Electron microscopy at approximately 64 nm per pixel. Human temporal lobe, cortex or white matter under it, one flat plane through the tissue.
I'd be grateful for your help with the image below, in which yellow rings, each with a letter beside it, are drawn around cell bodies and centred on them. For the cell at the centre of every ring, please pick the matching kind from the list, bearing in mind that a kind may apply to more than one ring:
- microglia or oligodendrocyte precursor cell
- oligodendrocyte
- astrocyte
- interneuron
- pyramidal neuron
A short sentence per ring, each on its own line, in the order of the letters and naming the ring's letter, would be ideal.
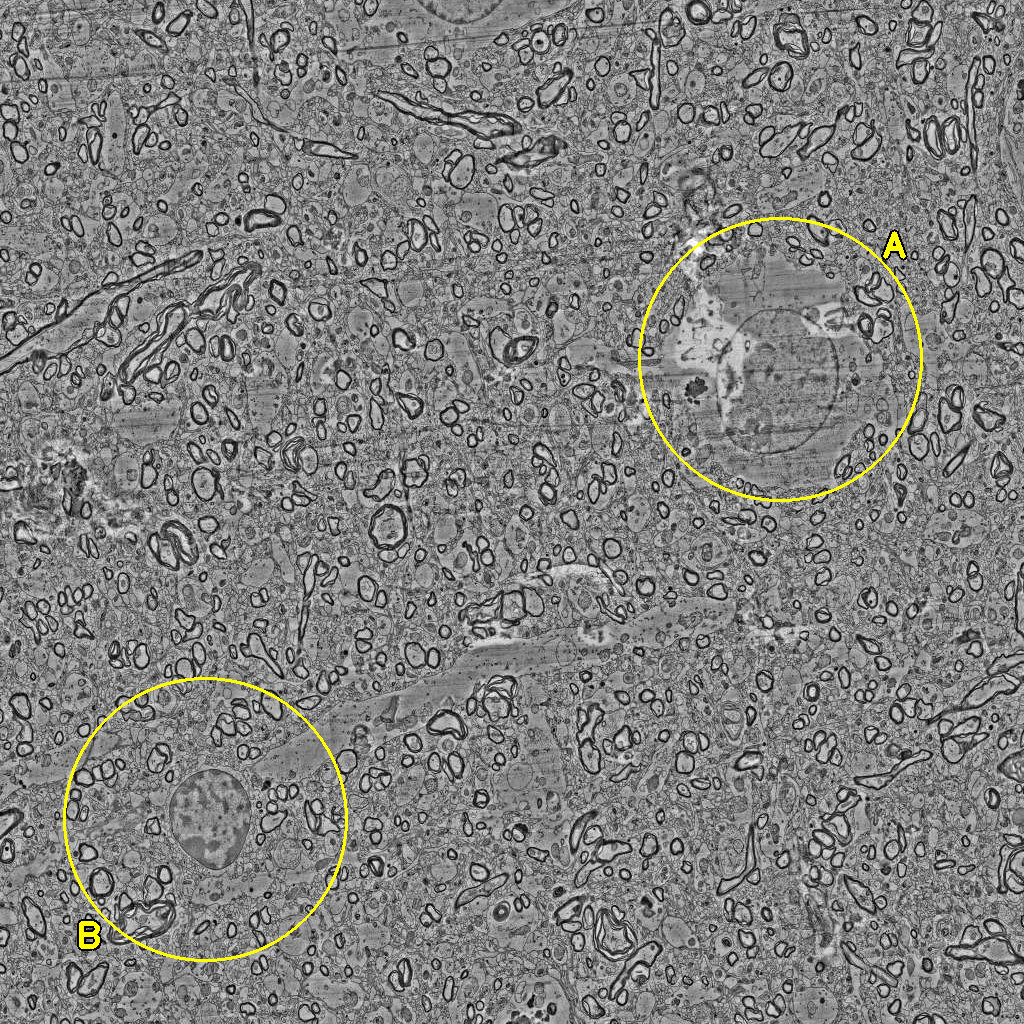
Inside ring A, the central cell is an astrocyte.
Inside ring B, the central cell is a microglial cell or oligodendrocyte precursor cell.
